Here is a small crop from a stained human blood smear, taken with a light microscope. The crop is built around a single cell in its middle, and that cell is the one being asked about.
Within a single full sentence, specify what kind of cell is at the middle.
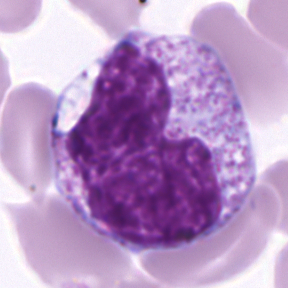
The centrally located cell in the crop is a myelocyte.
